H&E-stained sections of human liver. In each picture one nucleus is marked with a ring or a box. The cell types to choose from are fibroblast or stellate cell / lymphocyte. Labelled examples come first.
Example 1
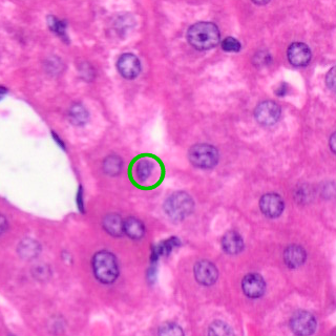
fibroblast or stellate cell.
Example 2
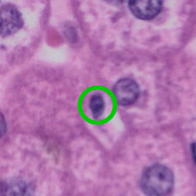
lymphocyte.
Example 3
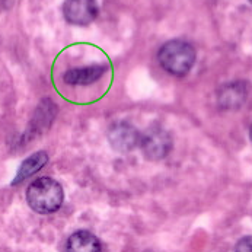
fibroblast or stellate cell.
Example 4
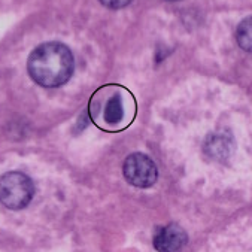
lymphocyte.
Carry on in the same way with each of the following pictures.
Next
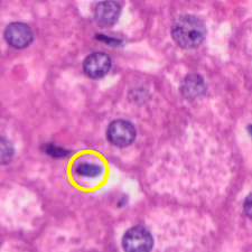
lymphocyte.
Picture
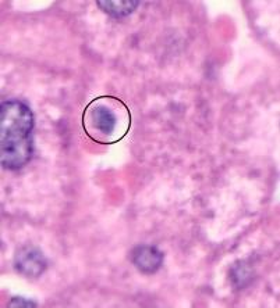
lymphocyte.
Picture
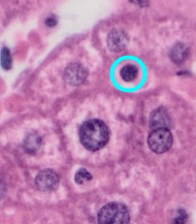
lymphocyte.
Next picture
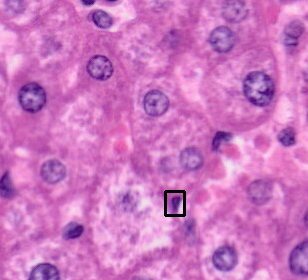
fibroblast or stellate cell.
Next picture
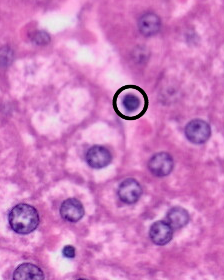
lymphocyte.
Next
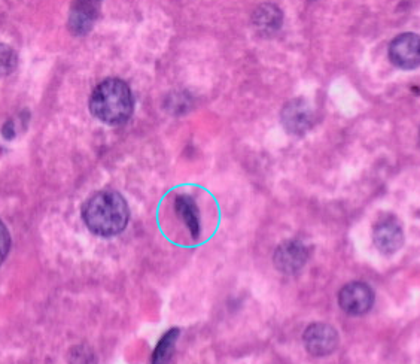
fibroblast or stellate cell.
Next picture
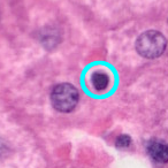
lymphocyte.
